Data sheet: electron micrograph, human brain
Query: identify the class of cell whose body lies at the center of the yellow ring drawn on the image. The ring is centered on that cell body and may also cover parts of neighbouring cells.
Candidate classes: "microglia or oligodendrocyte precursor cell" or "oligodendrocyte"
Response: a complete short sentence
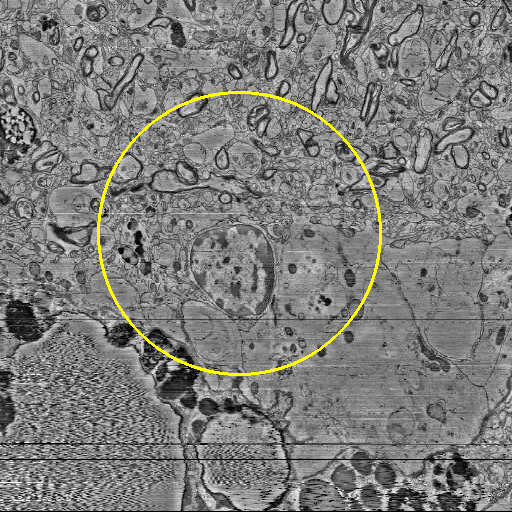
At the center of the ring lies a microglial cell or oligodendrocyte precursor cell.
